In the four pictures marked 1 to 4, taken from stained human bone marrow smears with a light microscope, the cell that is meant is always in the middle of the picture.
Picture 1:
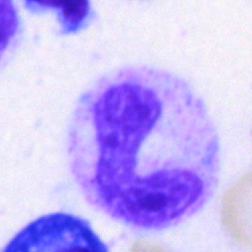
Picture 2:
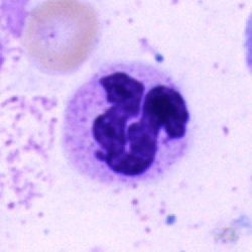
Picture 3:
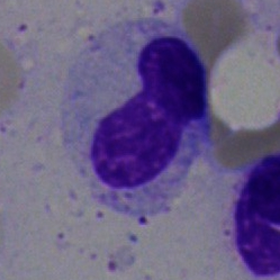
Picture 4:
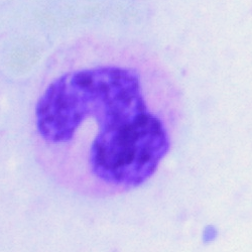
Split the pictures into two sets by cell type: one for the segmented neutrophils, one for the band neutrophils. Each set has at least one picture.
1: band neutrophil
2: segmented neutrophil
3: band neutrophil
4: band neutrophil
